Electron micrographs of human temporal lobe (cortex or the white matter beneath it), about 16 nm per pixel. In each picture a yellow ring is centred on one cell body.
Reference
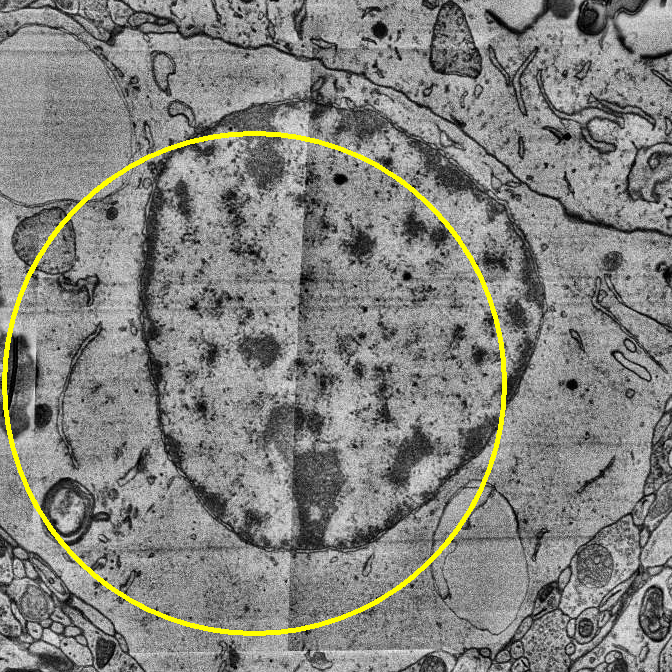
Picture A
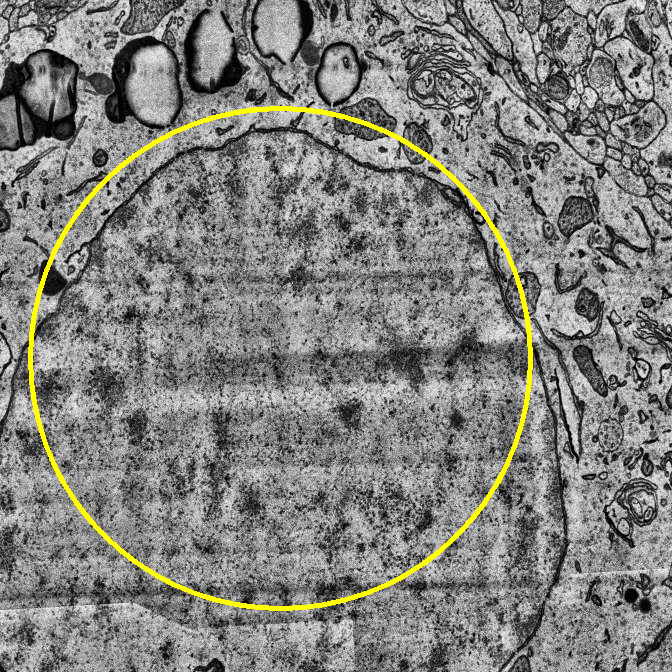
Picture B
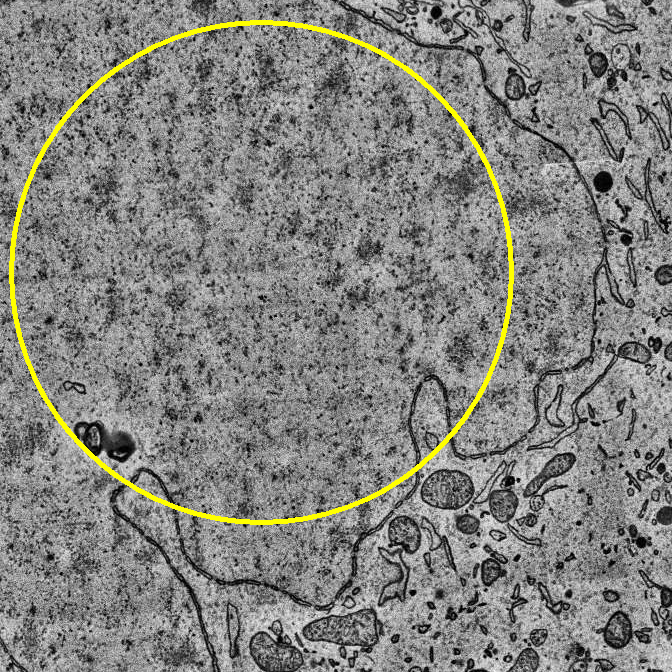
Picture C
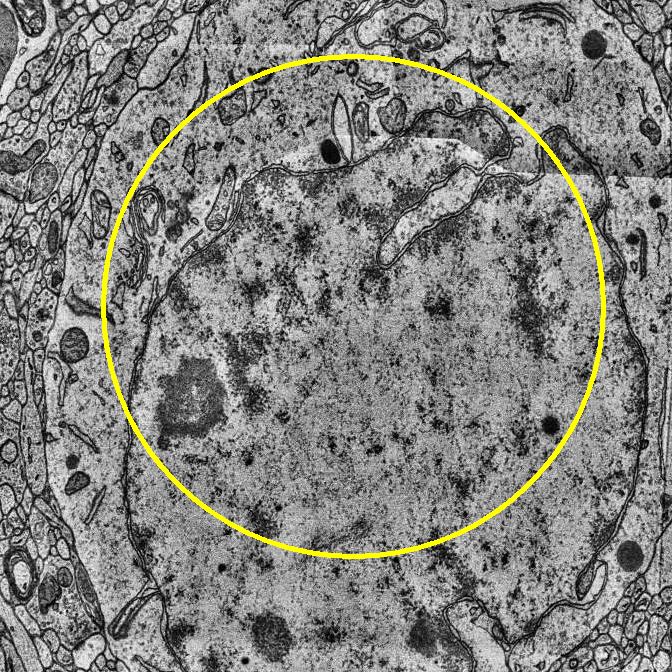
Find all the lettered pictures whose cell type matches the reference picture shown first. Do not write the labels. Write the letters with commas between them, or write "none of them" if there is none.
none of them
